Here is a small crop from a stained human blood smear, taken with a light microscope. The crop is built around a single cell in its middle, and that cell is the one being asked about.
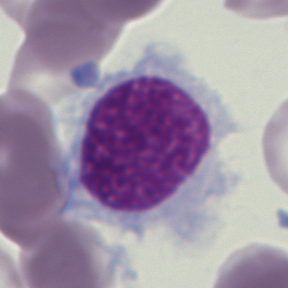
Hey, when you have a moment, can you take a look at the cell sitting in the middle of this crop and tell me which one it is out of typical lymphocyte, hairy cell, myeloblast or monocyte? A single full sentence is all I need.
In this crop, the cell at the very middle is a hairy cell.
